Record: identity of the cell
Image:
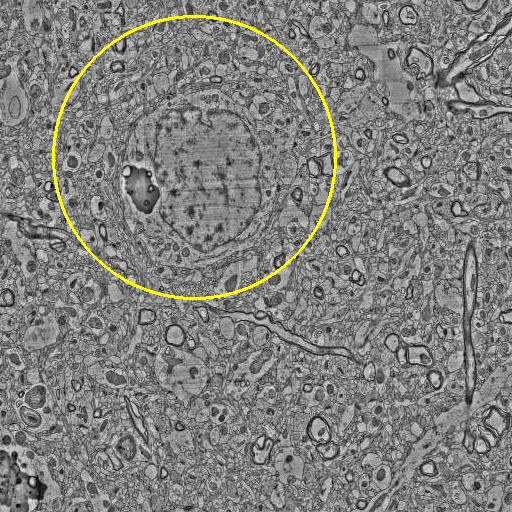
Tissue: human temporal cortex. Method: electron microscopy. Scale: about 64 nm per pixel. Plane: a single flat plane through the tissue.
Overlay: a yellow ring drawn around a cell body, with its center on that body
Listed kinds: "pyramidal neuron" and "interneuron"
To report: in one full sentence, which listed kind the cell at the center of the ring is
In the image, the cell body at the ring's center belongs to an interneuron.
